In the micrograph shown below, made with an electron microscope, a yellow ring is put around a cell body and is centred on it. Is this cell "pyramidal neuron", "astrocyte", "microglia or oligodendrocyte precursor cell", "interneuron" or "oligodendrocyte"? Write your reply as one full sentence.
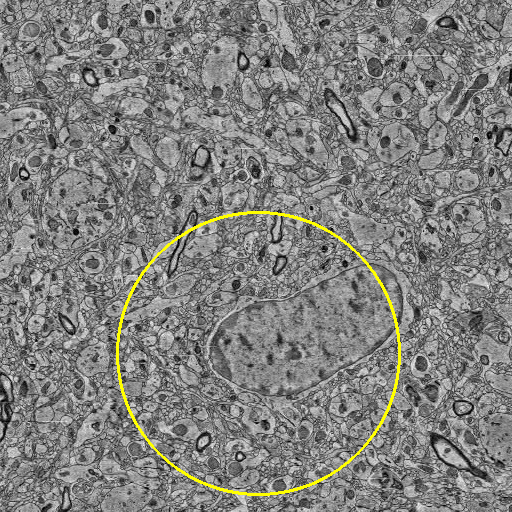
In the micrograph, a microglial cell or oligodendrocyte precursor cell is the cell at the centre of the yellow ring.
